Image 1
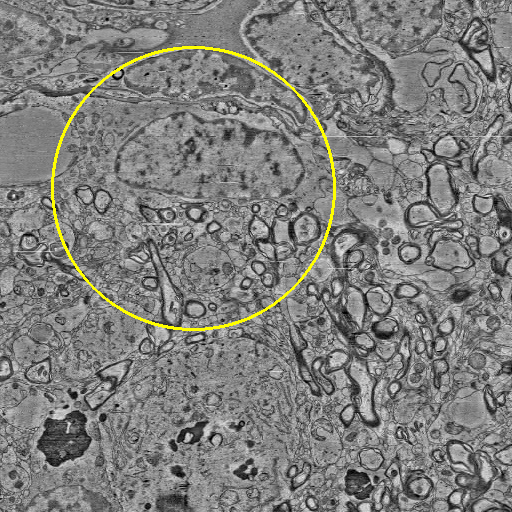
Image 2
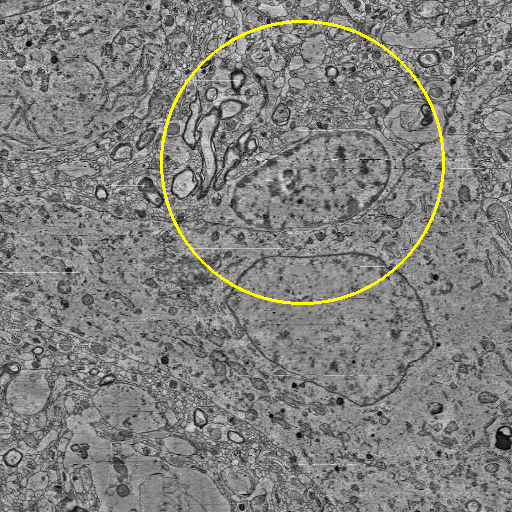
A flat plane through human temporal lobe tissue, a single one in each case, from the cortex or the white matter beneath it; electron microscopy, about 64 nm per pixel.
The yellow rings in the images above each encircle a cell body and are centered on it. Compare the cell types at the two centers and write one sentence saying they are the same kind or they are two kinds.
Taken together, the two cells at the ring centers are the same kind.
